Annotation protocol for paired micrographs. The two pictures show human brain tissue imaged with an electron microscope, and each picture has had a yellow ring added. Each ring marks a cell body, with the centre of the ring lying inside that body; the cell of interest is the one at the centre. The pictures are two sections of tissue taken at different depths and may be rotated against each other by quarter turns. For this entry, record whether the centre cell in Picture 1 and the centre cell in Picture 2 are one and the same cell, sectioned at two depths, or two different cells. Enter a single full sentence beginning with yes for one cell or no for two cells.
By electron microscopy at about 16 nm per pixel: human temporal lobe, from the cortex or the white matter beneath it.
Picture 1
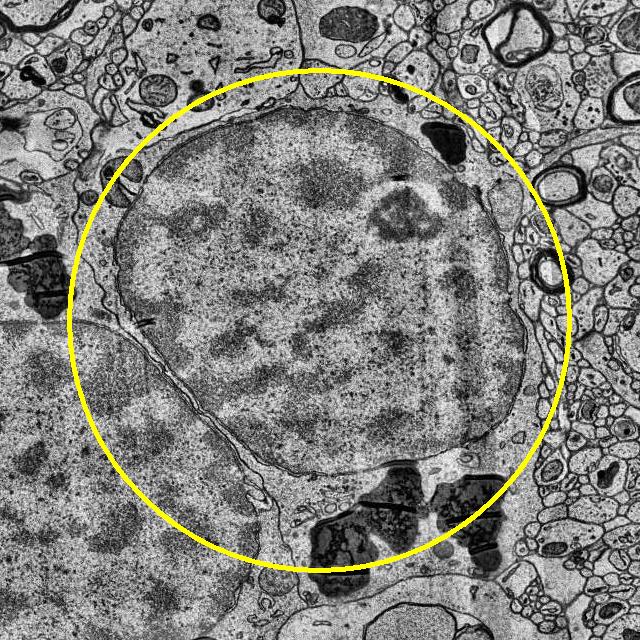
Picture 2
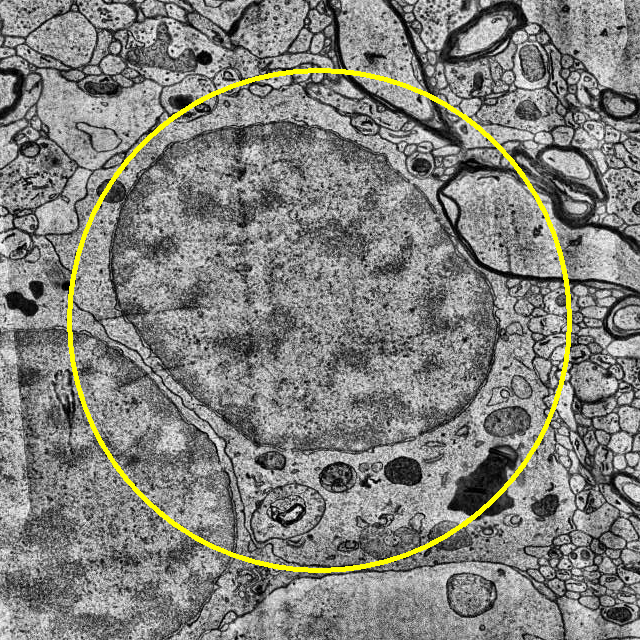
Yes, the same cell has been marked in both yellow rings.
